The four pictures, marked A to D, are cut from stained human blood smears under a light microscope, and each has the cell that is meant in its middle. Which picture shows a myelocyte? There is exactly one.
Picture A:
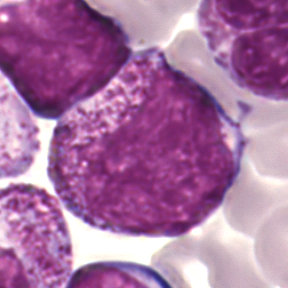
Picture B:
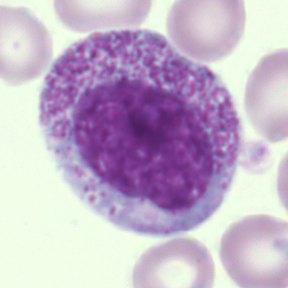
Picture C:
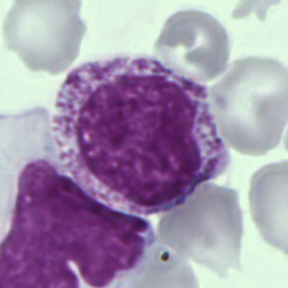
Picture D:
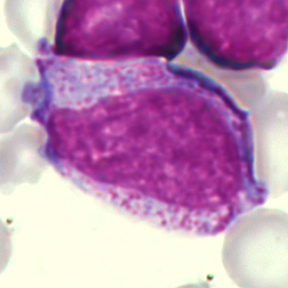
C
